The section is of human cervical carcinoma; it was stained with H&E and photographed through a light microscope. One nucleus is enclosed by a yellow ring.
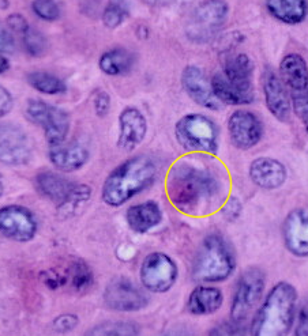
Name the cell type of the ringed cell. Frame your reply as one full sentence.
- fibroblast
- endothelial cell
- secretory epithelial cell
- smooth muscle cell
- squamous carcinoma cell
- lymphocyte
In short, the ringed cell on this section is a squamous carcinoma cell.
